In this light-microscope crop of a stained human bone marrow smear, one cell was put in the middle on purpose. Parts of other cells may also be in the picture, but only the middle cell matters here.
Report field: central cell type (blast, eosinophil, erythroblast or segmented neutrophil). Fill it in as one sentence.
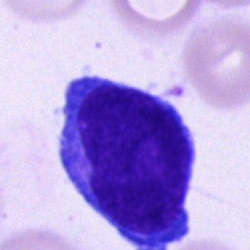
In the middle of this smear crop, the cell is a blast.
